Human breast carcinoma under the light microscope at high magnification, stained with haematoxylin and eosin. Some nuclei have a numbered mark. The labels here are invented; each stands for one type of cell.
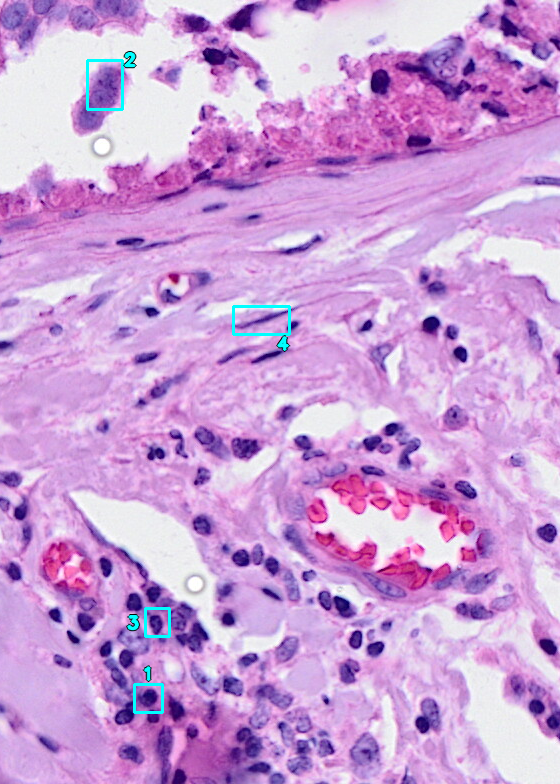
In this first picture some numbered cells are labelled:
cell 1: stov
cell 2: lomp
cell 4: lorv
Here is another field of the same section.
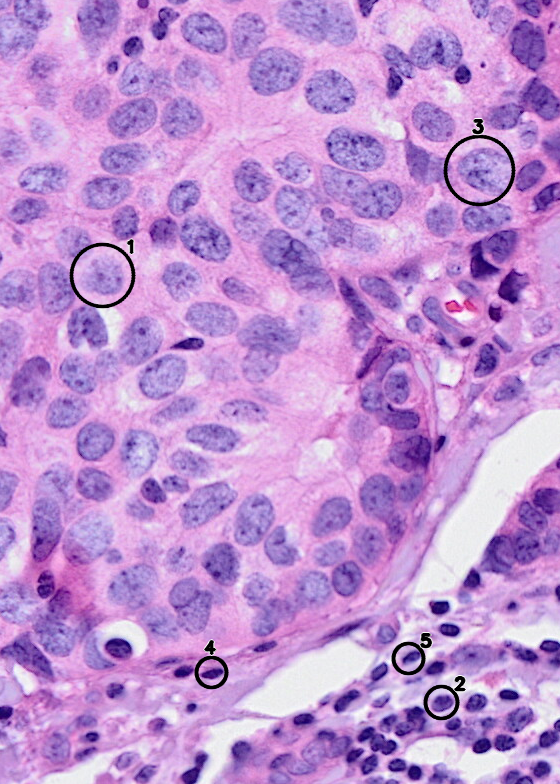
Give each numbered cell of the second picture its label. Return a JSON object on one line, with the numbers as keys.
{"1": "lomp", "2": "stov", "3": "lomp", "4": "stov", "5": "stov"}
